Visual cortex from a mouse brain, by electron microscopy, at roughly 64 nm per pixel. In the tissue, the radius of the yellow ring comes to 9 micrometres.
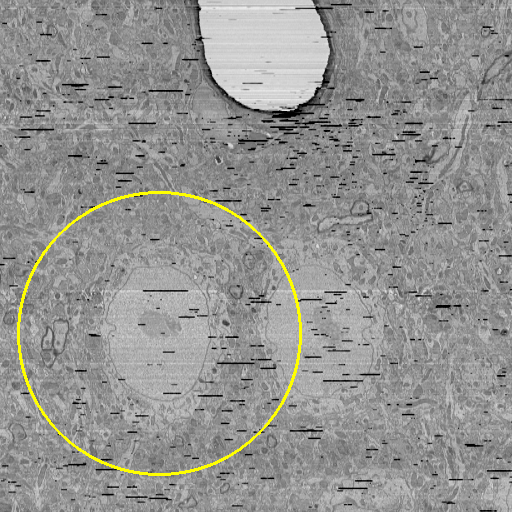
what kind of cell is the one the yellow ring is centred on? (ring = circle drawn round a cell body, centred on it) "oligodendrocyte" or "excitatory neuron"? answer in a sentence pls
The ring is drawn around an excitatory neuron.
